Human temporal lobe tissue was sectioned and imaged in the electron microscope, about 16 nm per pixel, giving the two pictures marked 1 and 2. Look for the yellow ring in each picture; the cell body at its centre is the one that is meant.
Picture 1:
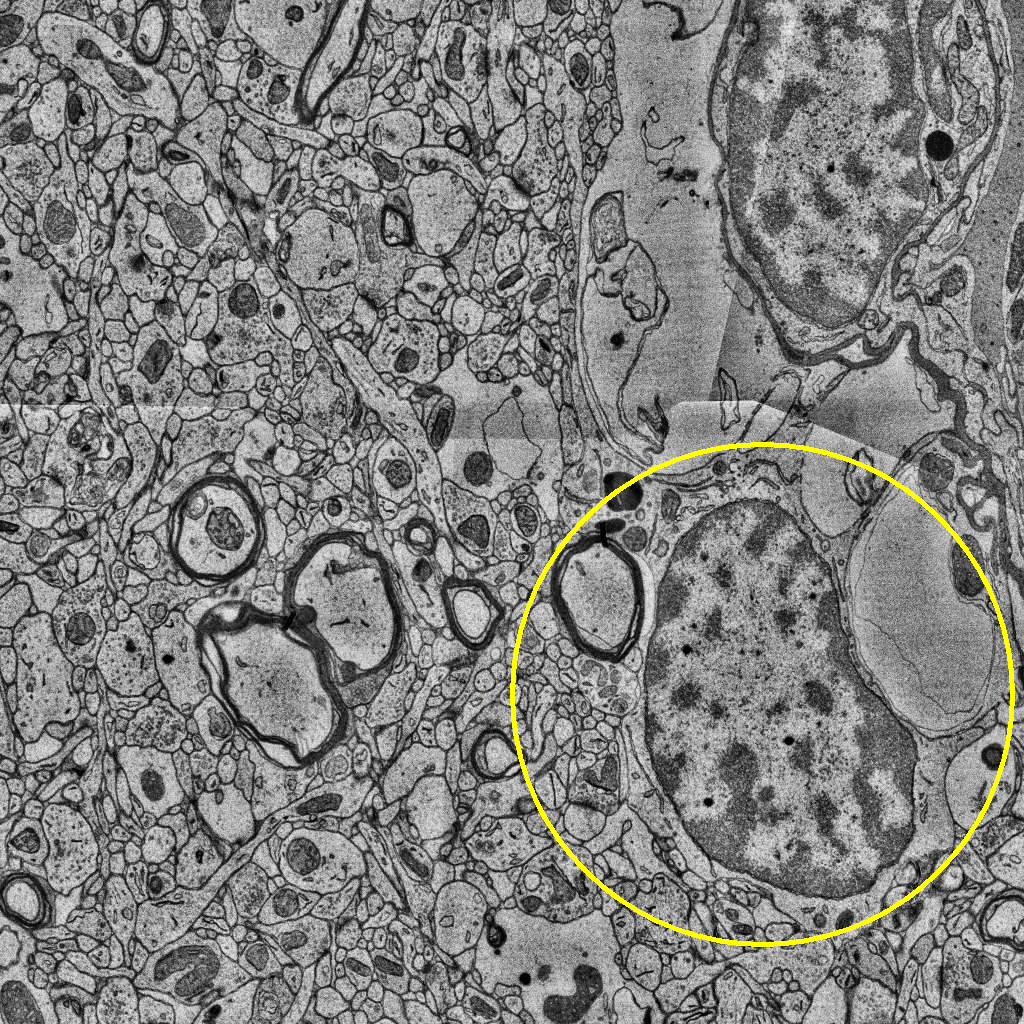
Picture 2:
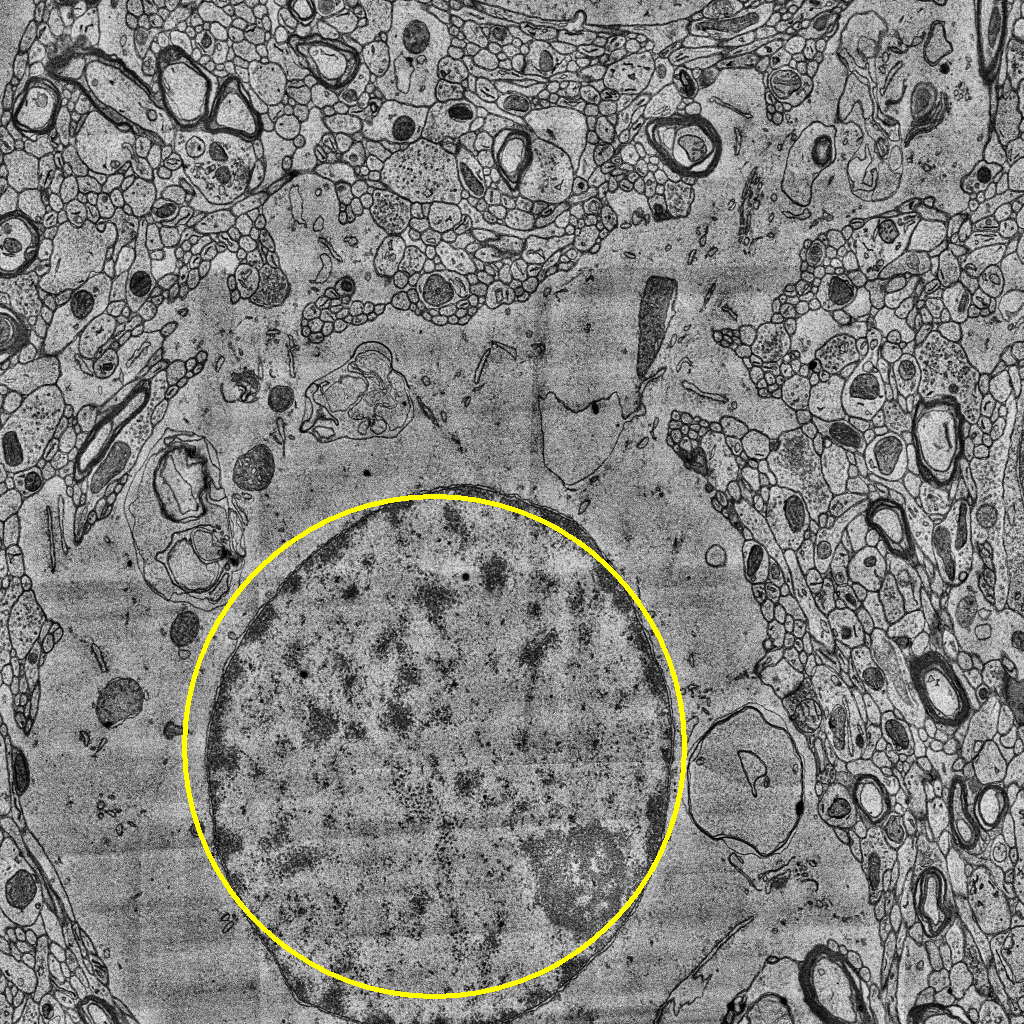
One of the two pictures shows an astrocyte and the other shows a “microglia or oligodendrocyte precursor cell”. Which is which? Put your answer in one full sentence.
The cell in picture 1 is a “microglia or oligodendrocyte precursor cell”, and the one in picture 2 is an astrocyte.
